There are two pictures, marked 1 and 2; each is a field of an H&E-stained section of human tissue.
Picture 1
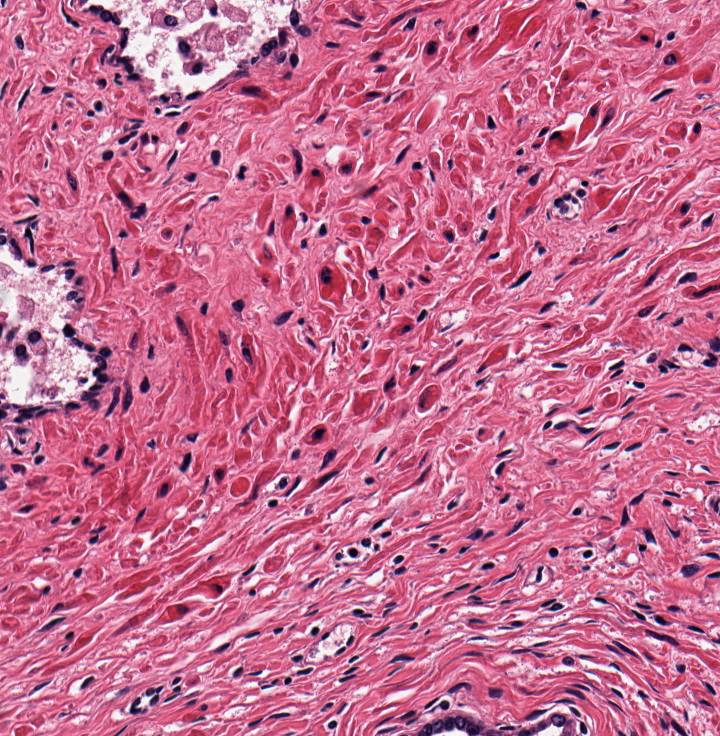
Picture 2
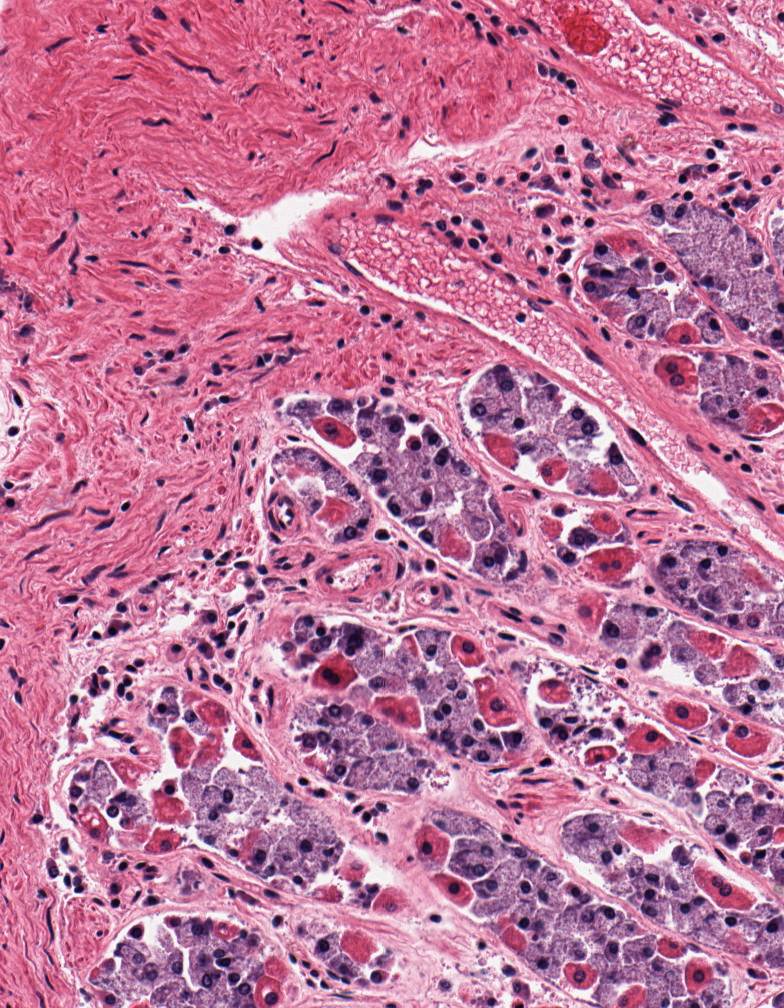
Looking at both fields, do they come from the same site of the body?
no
